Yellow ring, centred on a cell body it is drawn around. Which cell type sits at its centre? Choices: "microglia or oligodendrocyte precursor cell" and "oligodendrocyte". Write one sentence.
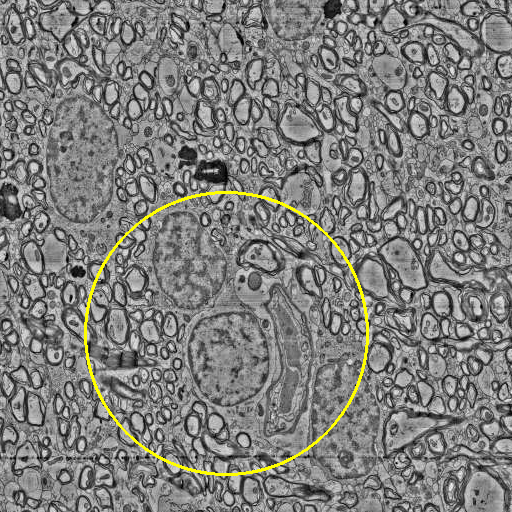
At the centre of the ring sits a microglial cell or oligodendrocyte precursor cell.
